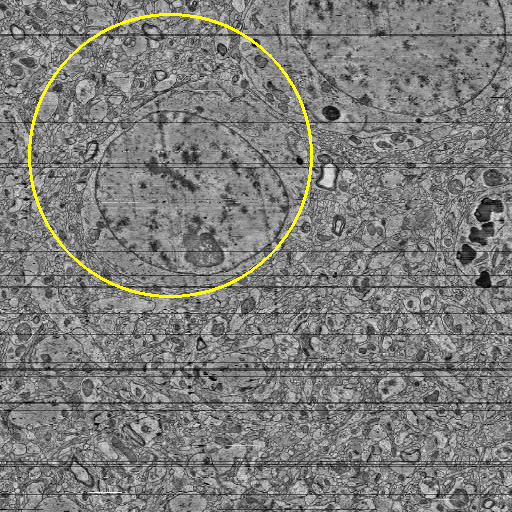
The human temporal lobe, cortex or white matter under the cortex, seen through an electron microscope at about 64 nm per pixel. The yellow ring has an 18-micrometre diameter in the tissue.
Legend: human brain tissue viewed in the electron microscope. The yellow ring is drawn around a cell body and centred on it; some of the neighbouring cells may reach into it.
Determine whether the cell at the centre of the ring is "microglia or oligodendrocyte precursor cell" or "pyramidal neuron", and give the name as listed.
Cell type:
pyramidal neuron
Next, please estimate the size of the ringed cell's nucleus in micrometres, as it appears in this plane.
In this plane the nucleus measures roughly 12 by 10 micrometers.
